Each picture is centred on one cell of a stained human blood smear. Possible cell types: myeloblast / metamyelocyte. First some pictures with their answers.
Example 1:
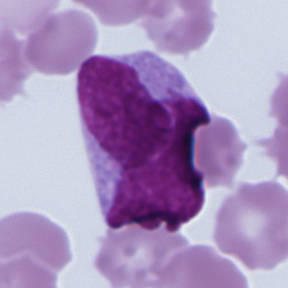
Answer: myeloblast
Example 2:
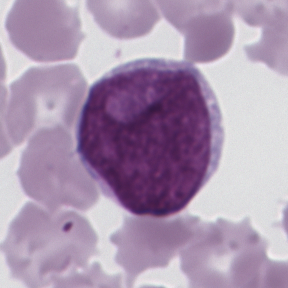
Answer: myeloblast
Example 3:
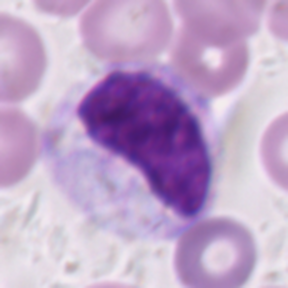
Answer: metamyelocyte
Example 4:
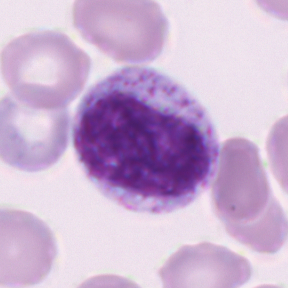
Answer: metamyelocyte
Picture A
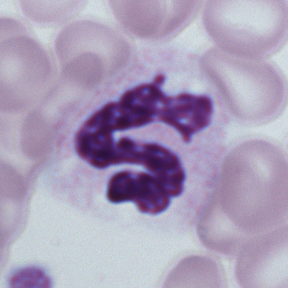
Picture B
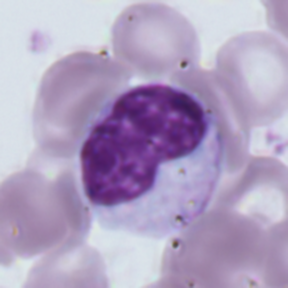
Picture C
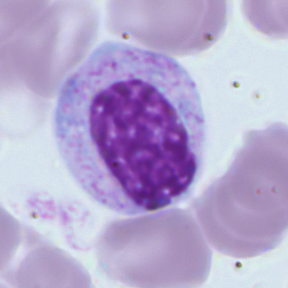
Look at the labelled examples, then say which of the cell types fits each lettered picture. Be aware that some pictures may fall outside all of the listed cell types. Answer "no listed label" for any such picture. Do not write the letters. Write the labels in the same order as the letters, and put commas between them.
no listed label, metamyelocyte, metamyelocyte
